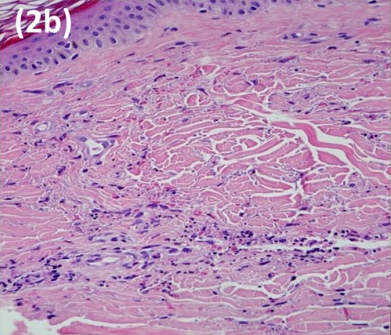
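This is skin with a thin strip of epidermis at the upper left over a dermis of pink, wavy collagen bundles. Small vessels in the dermis are surrounded by clusters of inflammatory cells with small dark nuclei, densest in a band lower in the field.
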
